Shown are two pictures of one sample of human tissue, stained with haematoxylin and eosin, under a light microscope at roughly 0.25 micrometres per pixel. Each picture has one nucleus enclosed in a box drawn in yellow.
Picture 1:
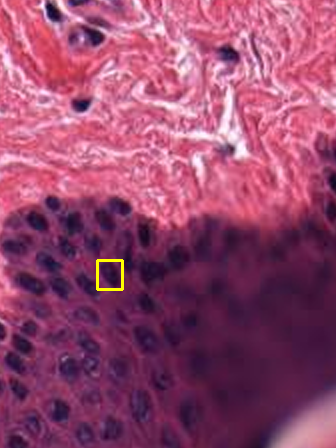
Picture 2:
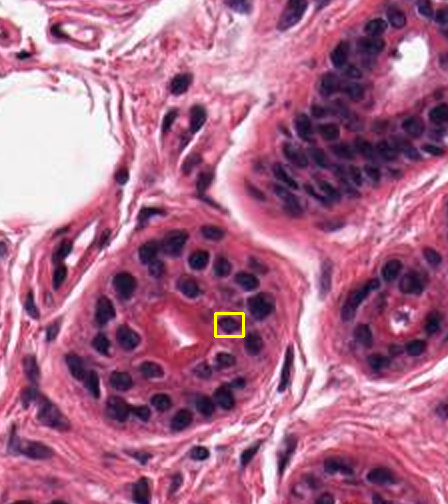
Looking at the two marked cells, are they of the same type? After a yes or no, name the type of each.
No, the first is a keratinocyte and the second a sweat gland cell.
